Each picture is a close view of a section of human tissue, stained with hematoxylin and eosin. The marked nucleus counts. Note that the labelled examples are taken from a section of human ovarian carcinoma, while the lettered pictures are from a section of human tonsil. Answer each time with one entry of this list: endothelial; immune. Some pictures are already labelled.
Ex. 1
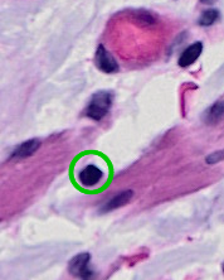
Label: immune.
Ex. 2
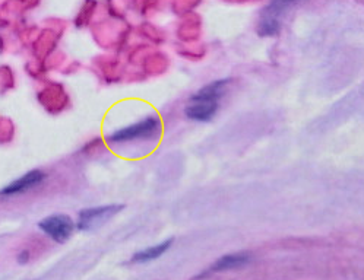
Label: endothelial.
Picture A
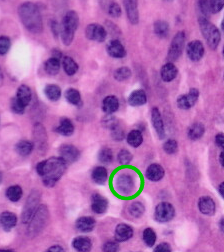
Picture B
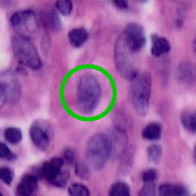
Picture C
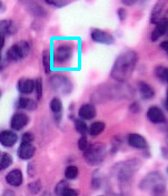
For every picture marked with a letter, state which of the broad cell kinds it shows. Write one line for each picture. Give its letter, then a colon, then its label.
A: immune.
B: endothelial.
C: endothelial.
